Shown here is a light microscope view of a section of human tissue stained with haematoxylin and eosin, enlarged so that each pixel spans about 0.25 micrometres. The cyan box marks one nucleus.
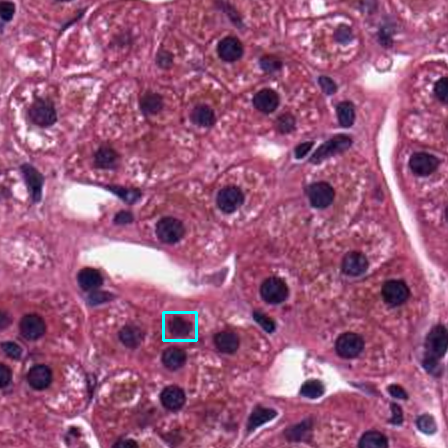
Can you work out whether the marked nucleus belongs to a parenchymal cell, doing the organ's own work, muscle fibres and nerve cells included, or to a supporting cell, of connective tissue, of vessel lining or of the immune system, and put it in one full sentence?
The marked nucleus is held by a parenchymal cell, namely an adrenal cortical cell.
